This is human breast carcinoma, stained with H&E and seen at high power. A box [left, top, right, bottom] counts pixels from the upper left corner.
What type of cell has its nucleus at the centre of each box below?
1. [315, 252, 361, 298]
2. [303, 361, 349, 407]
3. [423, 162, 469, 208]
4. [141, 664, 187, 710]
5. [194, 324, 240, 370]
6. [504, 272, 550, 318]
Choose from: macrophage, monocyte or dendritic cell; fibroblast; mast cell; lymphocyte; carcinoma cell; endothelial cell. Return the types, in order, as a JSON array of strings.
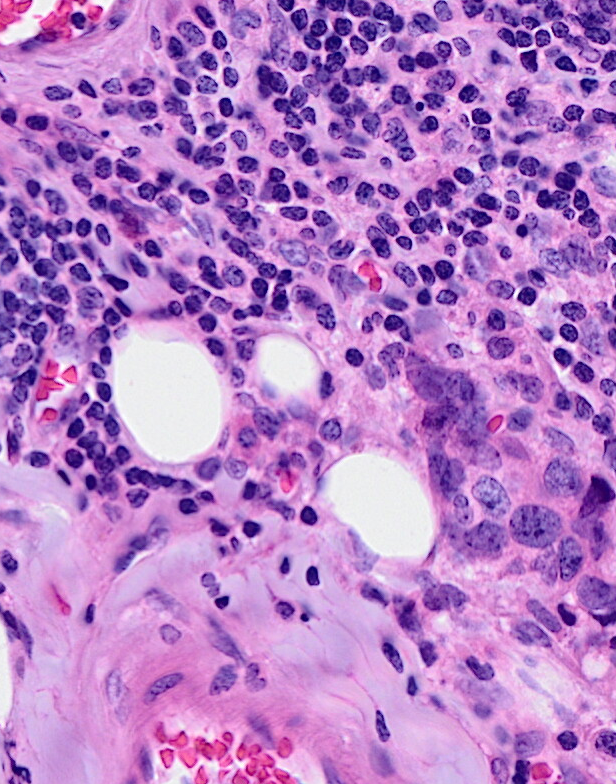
["endothelial cell", "lymphocyte", "lymphocyte", "endothelial cell", "lymphocyte", "lymphocyte"]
